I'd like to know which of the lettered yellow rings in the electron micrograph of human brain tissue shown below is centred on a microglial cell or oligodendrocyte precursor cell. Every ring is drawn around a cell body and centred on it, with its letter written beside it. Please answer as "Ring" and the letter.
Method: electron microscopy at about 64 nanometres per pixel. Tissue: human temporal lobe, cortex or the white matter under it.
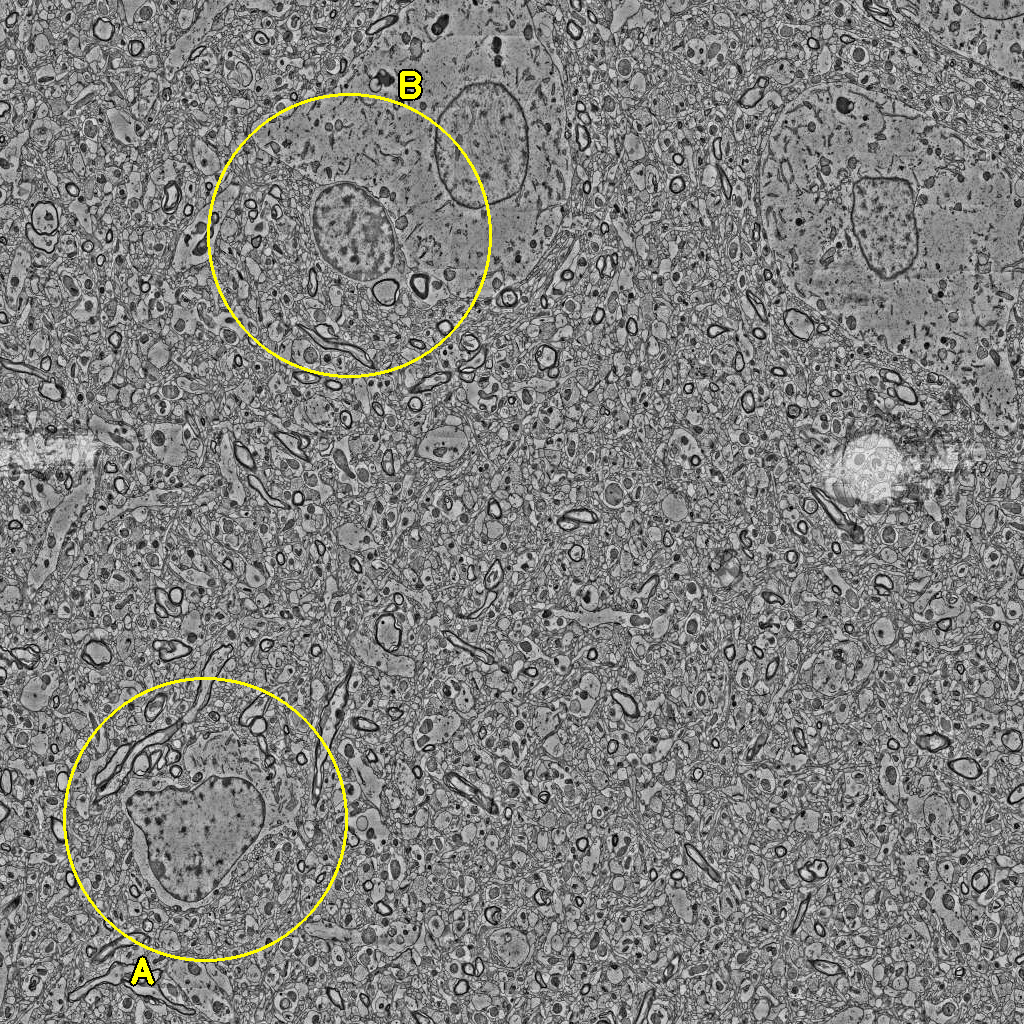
Ring A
